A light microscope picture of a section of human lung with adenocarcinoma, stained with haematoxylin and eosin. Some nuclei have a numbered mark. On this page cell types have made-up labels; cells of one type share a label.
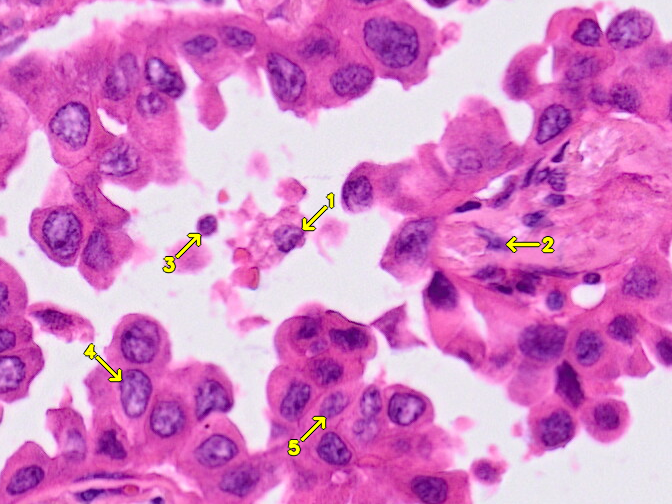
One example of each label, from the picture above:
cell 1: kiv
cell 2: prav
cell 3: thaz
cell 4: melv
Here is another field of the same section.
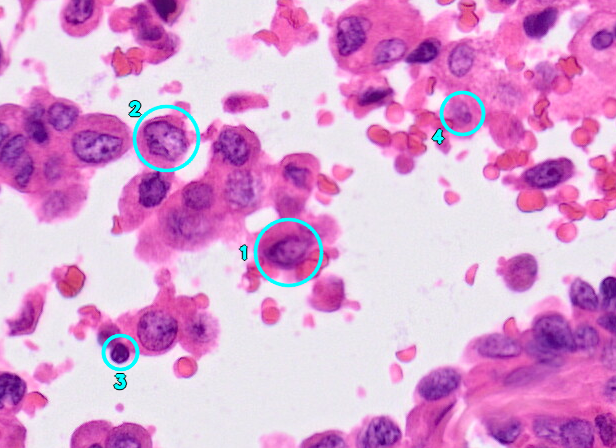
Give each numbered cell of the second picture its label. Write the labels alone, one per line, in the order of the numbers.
melv
melv
thaz
kiv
